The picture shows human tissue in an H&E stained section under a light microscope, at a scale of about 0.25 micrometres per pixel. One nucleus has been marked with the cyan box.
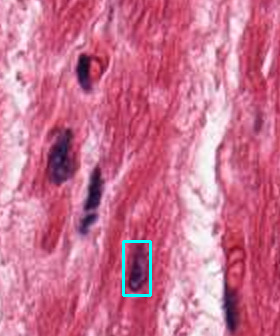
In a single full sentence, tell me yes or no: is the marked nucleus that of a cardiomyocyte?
Yes, the marked nucleus belongs, in this section, to a cardiomyocyte.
